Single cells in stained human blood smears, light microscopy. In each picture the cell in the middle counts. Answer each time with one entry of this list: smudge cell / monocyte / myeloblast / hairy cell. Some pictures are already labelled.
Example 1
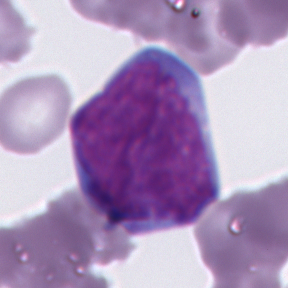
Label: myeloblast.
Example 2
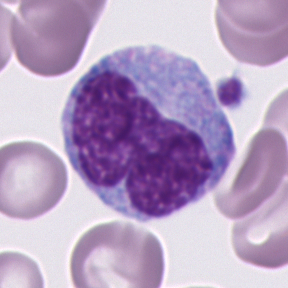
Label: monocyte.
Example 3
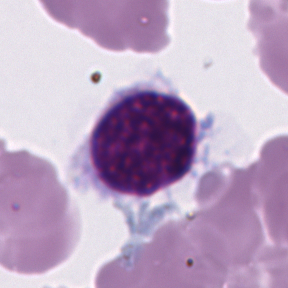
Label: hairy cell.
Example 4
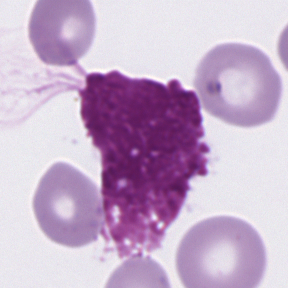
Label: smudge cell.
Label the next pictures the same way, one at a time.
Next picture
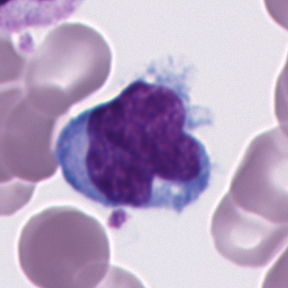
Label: monocyte.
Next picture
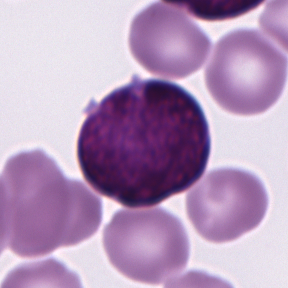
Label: myeloblast.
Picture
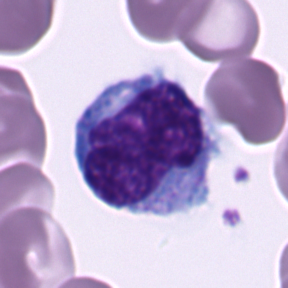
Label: monocyte.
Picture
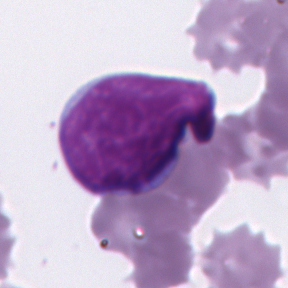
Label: myeloblast.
